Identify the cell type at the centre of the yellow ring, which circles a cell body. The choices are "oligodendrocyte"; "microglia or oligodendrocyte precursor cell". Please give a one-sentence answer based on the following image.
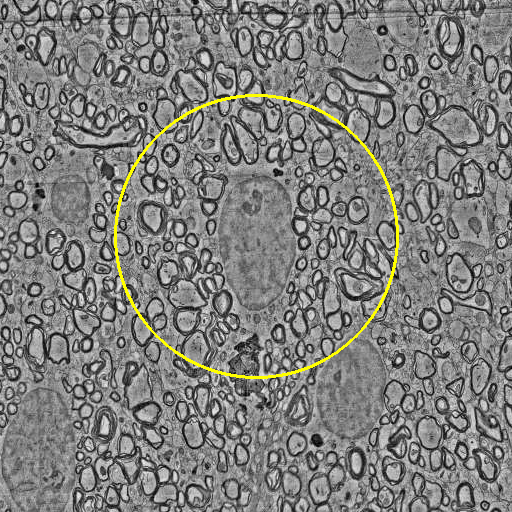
The cell marked by the ring is an oligodendrocyte.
